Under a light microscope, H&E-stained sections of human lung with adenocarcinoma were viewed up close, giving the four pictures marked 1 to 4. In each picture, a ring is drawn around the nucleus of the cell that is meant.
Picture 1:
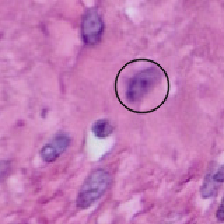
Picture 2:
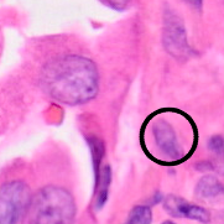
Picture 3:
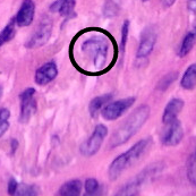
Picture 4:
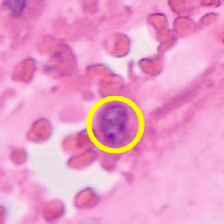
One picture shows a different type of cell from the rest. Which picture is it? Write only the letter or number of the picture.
4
